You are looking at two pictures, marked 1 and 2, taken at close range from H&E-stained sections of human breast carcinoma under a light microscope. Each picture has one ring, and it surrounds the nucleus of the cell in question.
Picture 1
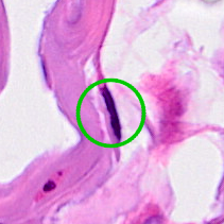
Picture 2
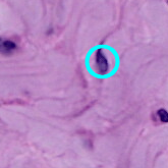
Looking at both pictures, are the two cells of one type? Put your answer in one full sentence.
Yes, both cells are fibroblasts.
